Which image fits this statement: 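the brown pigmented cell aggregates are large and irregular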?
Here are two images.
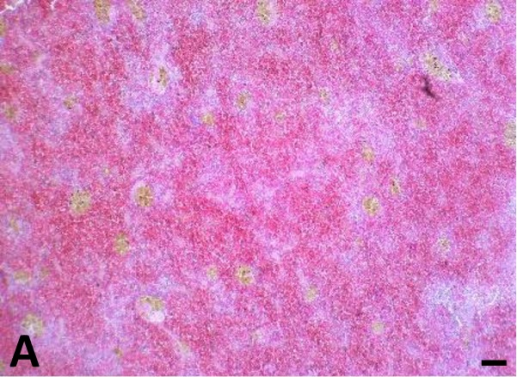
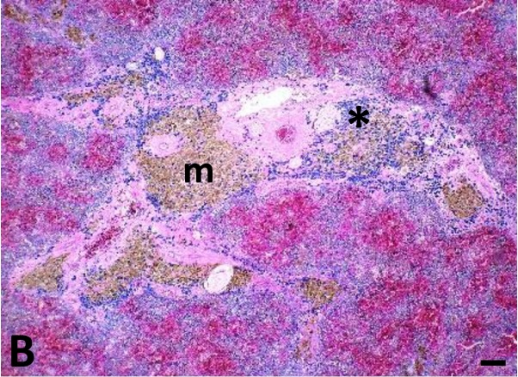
the second image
